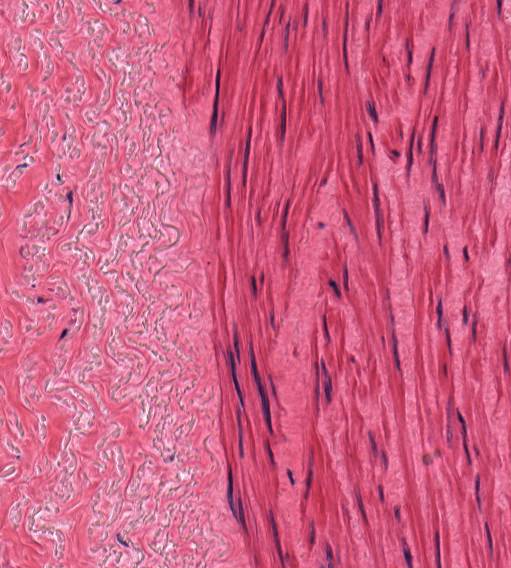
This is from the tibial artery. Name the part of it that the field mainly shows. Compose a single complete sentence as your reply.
The tissue part in this image has the name tunica media.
